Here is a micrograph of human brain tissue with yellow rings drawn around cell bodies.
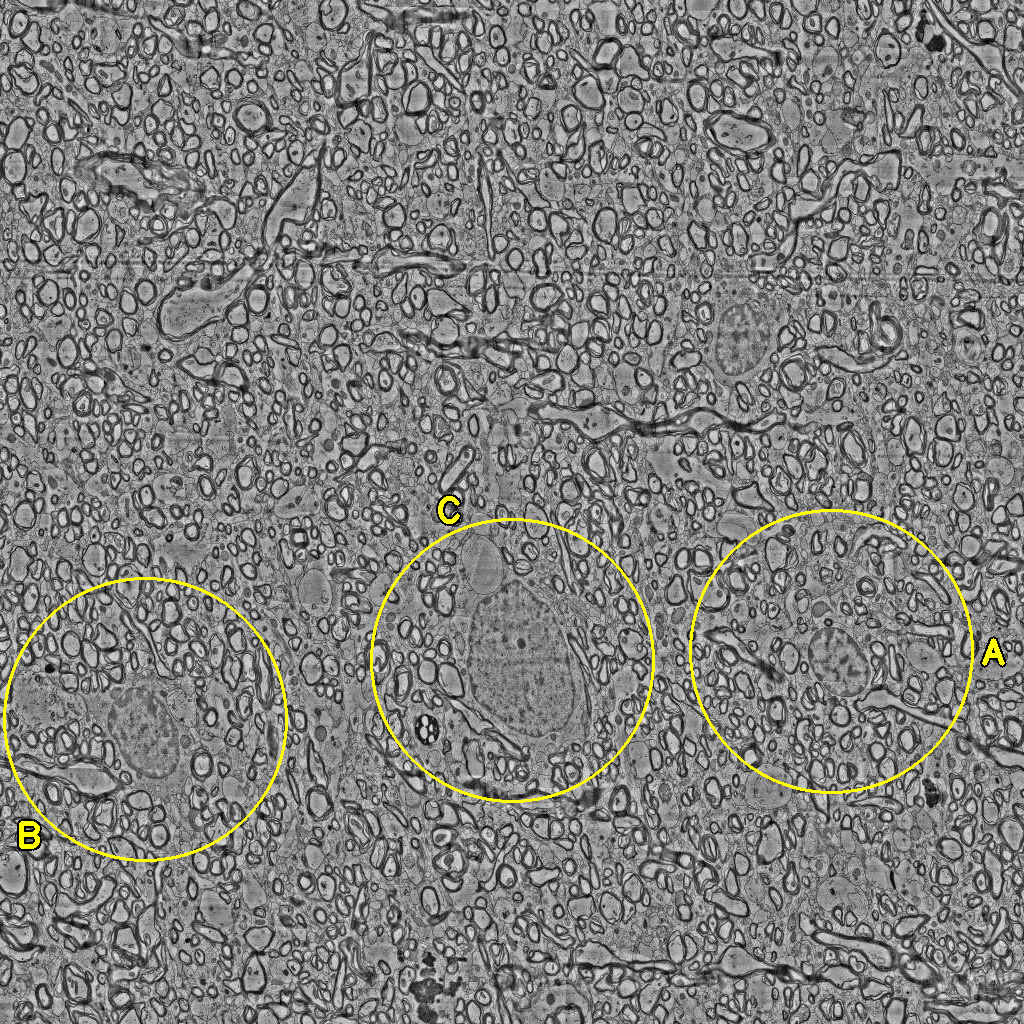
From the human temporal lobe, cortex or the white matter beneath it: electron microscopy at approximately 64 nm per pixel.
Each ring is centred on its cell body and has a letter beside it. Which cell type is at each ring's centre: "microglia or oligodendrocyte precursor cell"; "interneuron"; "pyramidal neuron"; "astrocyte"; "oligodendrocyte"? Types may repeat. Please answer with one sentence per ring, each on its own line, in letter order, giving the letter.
Ring A shows a microglial cell or oligodendrocyte precursor cell at its centre.
Ring B shows an oligodendrocyte at its centre.
Ring C shows an astrocyte at its centre.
